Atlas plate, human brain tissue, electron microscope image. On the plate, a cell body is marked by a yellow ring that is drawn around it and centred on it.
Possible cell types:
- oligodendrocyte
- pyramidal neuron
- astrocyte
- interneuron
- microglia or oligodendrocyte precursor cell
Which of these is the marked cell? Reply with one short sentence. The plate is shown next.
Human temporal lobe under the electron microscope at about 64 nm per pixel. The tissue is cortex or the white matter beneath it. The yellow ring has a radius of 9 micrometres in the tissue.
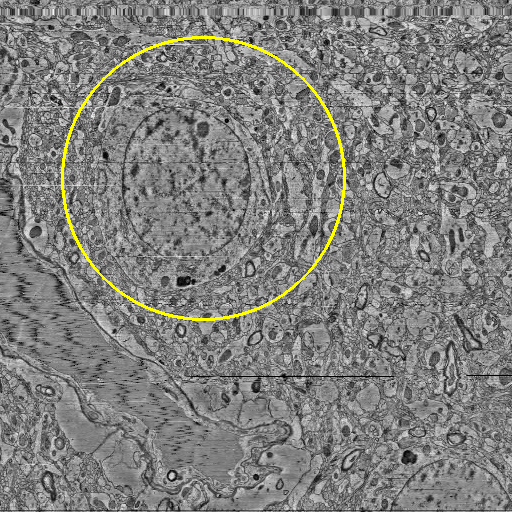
The marked cell is a pyramidal neuron.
